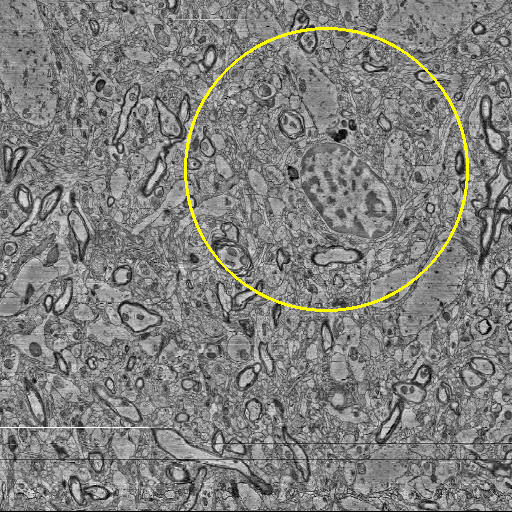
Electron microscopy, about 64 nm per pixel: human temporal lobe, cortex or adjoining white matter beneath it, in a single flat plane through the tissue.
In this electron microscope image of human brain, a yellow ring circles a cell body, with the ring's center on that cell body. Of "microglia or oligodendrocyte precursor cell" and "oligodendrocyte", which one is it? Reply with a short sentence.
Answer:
It is a microglial cell or oligodendrocyte precursor cell at the center of the ring.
